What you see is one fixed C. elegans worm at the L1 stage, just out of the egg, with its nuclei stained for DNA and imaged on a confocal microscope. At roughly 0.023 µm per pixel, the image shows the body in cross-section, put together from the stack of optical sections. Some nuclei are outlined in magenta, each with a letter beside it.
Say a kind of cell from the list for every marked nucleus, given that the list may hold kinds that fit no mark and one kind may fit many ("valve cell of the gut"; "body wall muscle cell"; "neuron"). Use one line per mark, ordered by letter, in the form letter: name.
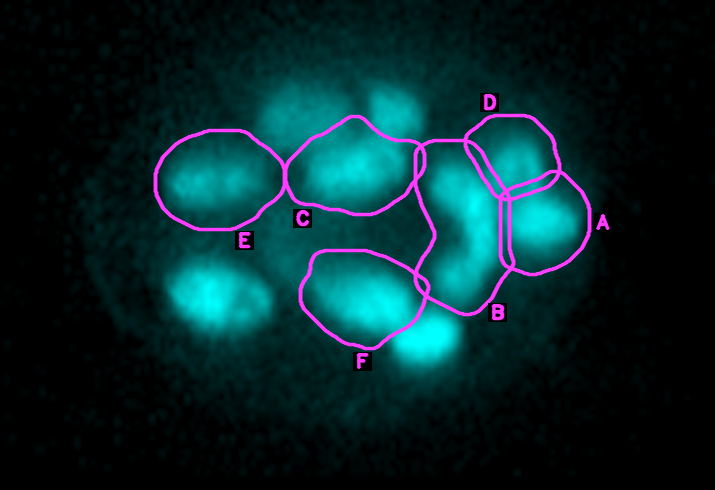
A: neuron
B: valve cell of the gut
C: valve cell of the gut
D: body wall muscle cell
E: body wall muscle cell
F: valve cell of the gut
